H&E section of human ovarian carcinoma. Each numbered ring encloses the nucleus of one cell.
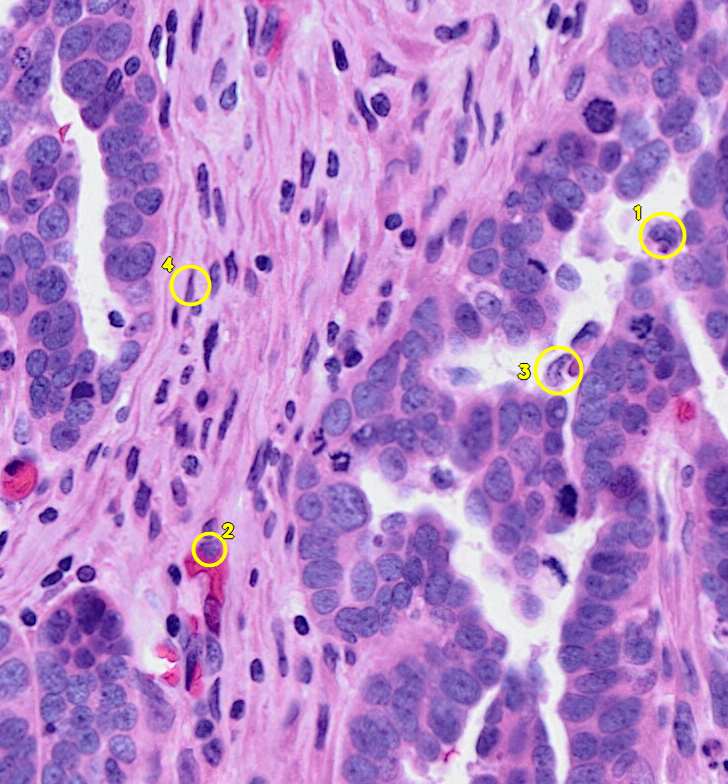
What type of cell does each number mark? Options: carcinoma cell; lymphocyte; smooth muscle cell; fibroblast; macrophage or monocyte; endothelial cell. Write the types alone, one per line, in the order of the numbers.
macrophage or monocyte
endothelial cell
macrophage or monocyte
fibroblast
